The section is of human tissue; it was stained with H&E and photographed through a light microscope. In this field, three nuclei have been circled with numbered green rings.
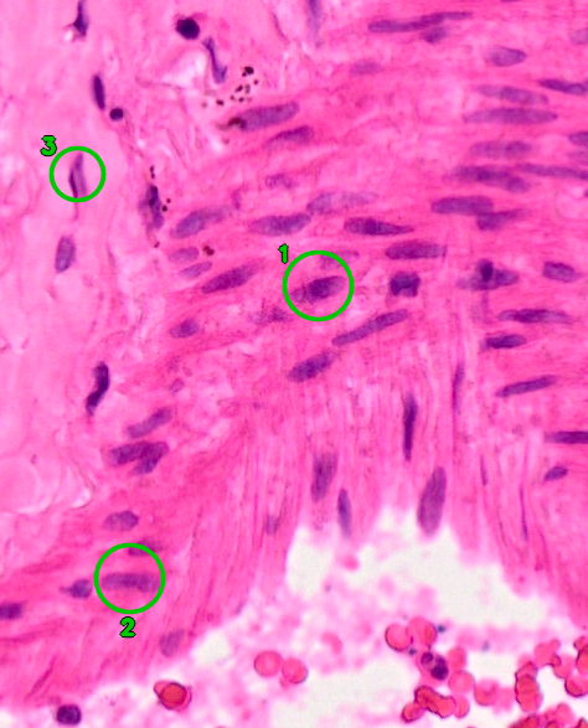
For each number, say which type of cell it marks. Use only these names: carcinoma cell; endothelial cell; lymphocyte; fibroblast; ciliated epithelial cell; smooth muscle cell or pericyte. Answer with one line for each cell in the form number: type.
1: smooth muscle cell or pericyte
2: smooth muscle cell or pericyte
3: fibroblast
